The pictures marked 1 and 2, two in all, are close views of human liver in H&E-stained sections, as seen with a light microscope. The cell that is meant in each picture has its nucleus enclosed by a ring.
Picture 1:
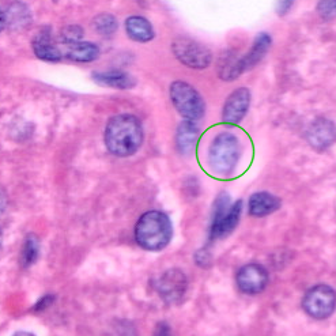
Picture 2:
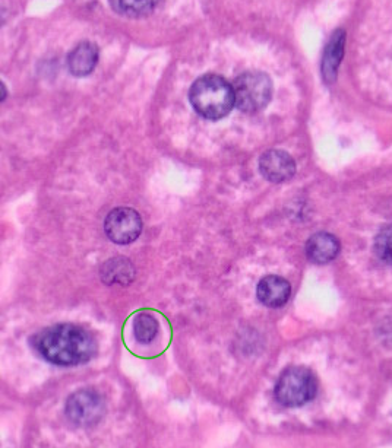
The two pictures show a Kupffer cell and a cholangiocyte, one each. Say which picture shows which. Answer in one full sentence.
Picture 1 shows a cholangiocyte and picture 2 shows a Kupffer cell.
